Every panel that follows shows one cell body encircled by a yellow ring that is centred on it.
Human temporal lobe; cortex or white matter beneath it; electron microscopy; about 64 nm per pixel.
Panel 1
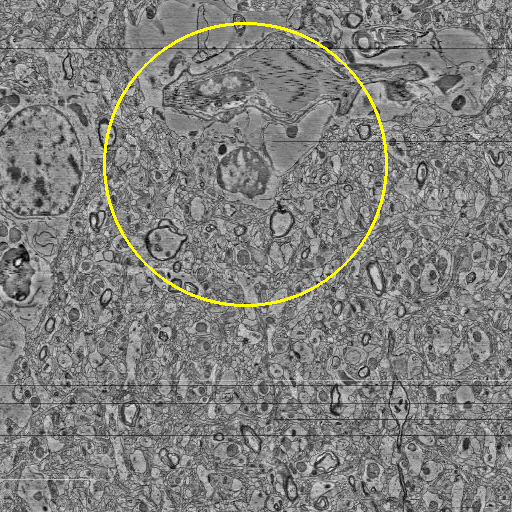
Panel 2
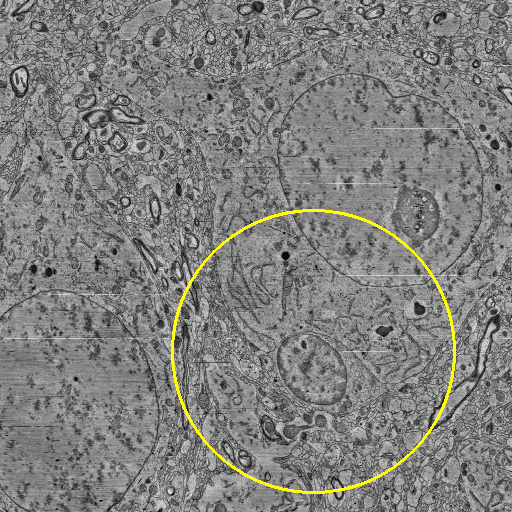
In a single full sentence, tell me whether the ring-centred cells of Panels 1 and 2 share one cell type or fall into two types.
In Panel 1 and Panel 2, the cells at the ring centres fall into two types.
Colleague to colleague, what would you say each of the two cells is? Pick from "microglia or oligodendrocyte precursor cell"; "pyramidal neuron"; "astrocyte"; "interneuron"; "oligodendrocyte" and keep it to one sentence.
The cell in the first picture is a microglial cell or oligodendrocyte precursor cell; the second picture's cell is an oligodendrocyte.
